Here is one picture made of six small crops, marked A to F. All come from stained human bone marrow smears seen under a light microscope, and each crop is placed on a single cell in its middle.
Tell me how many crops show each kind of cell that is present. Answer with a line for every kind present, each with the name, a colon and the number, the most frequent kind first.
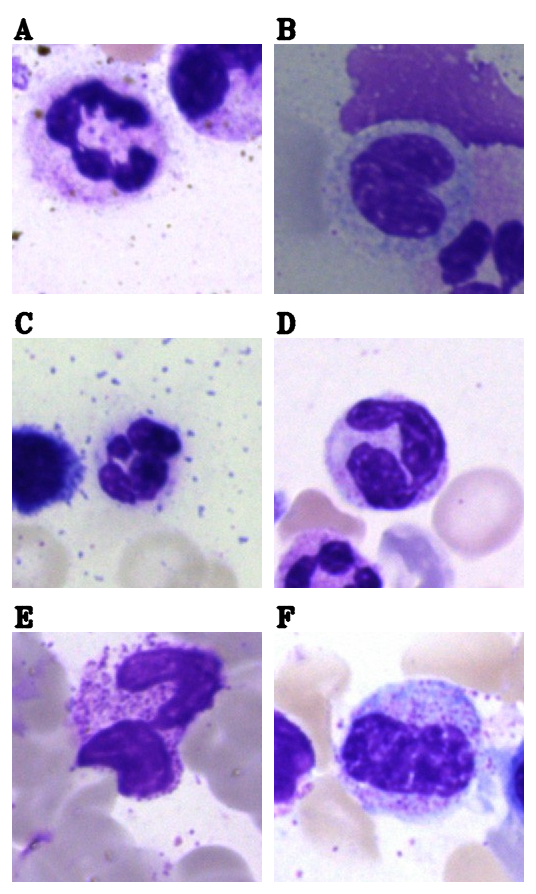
segmented neutrophil: 4
band neutrophil: 2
